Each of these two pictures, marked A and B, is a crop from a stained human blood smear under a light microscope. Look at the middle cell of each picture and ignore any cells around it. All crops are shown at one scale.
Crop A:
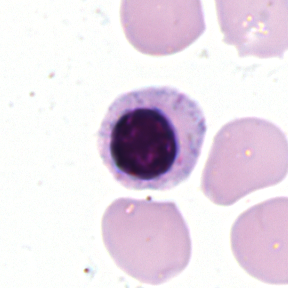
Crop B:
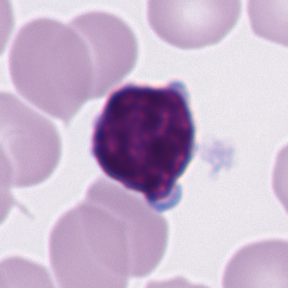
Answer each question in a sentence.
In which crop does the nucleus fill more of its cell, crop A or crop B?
Of the two, the nucleus in crop B makes up the greater part of its cell.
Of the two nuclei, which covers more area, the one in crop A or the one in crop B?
Larger is the nucleus in crop B, at roughly 2.5 times the area of the other.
